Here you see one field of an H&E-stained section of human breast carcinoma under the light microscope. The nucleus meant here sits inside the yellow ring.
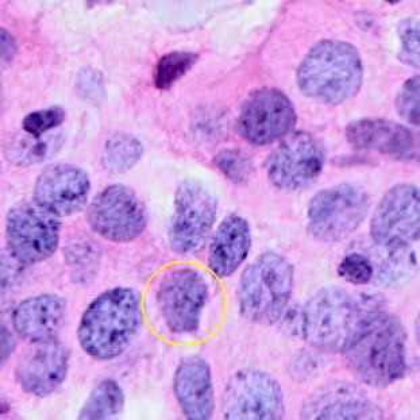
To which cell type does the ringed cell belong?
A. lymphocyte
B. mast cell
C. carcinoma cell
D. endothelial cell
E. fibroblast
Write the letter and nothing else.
C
